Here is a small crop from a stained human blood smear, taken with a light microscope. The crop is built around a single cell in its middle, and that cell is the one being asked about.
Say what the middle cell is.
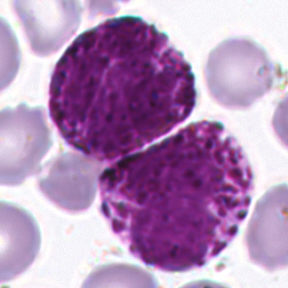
basophil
